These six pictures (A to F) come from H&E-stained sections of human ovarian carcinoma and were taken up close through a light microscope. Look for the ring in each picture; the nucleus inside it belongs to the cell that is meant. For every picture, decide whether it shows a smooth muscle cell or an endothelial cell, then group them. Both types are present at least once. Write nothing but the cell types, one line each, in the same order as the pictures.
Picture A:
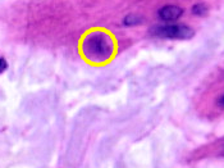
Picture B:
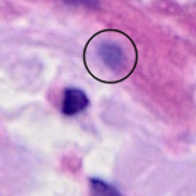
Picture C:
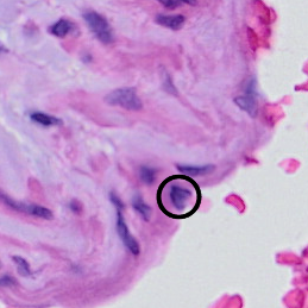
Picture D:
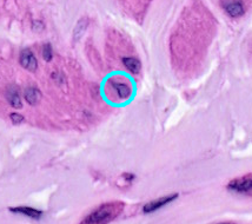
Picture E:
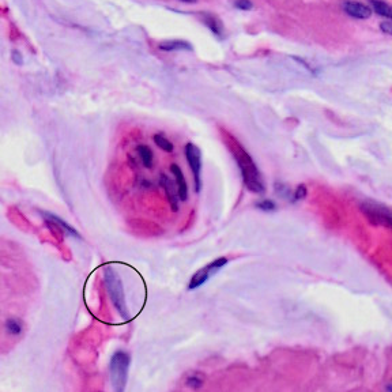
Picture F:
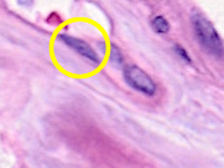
smooth muscle cell
smooth muscle cell
endothelial cell
smooth muscle cell
endothelial cell
endothelial cell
